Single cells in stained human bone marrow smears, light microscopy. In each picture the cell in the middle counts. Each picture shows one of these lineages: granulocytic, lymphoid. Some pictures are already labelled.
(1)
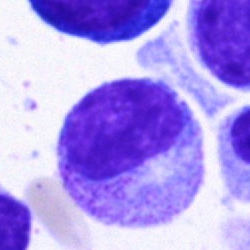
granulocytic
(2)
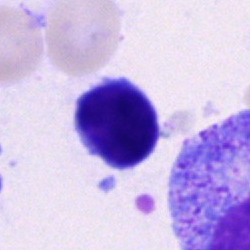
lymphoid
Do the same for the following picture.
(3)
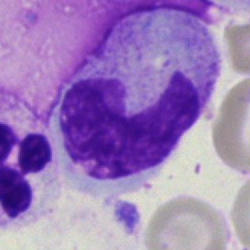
granulocytic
